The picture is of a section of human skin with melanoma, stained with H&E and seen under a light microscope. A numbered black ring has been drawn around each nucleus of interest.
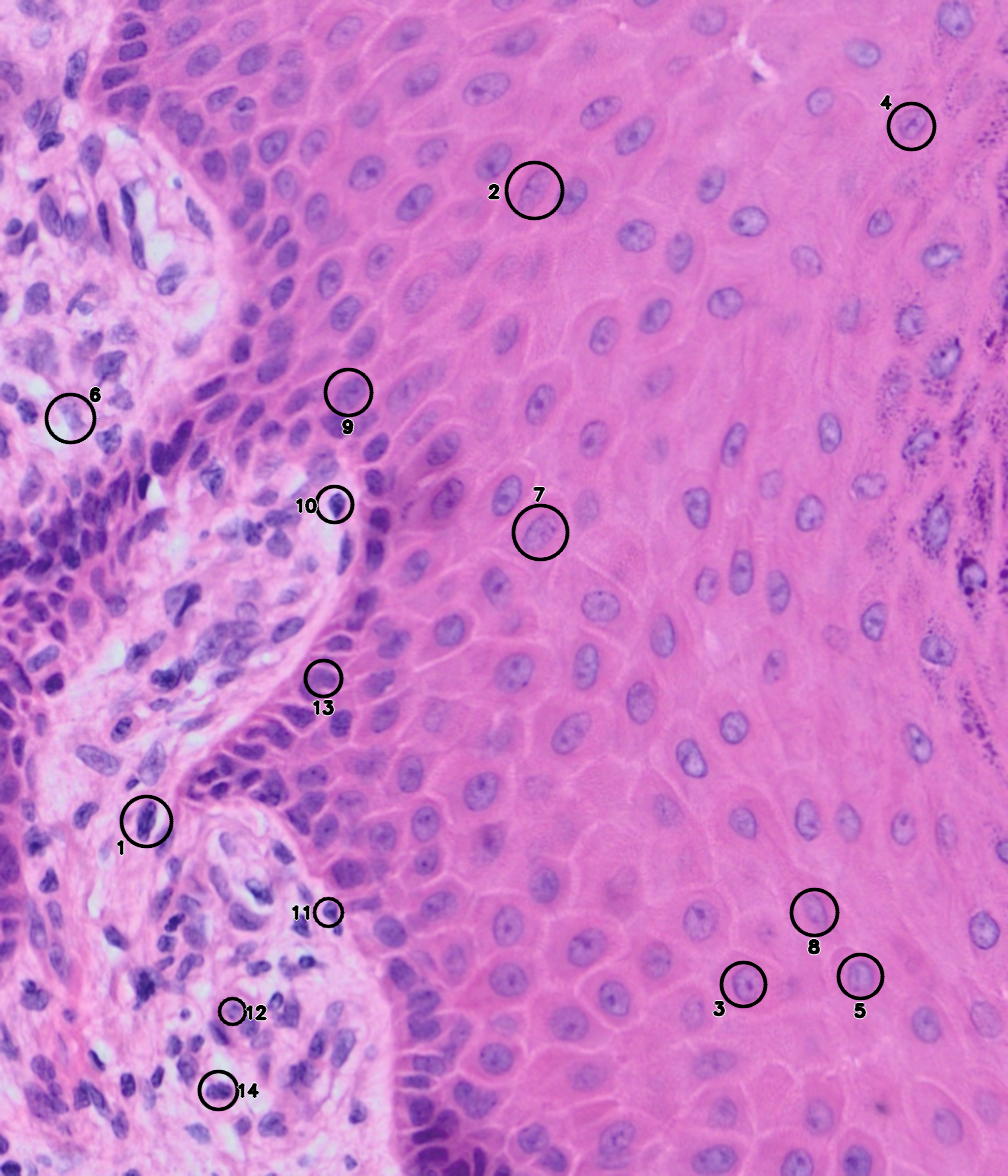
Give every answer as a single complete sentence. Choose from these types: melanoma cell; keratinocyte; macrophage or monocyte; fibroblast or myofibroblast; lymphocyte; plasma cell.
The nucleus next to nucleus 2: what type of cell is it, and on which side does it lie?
A keratinocyte lies closest, to the right of nucleus 2.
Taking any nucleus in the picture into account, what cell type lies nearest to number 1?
The nucleus nearest to number 1 is that of a fibroblast or myofibroblast.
